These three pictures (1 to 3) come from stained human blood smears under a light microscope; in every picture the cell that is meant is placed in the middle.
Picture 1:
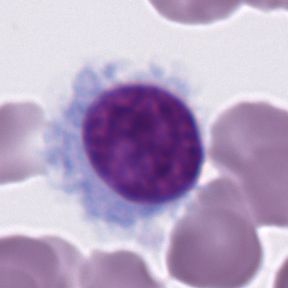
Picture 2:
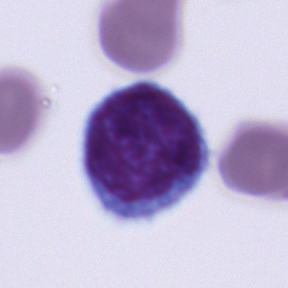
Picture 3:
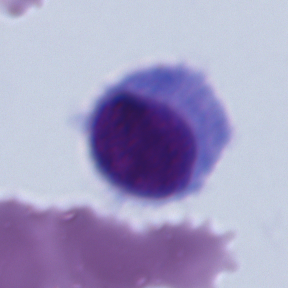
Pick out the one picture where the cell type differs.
2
